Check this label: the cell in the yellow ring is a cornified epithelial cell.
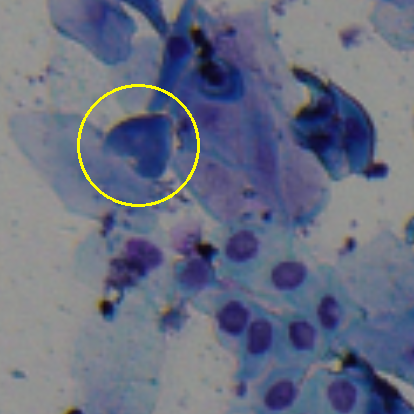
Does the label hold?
The label holds; the cell is a cornified epithelial cell.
